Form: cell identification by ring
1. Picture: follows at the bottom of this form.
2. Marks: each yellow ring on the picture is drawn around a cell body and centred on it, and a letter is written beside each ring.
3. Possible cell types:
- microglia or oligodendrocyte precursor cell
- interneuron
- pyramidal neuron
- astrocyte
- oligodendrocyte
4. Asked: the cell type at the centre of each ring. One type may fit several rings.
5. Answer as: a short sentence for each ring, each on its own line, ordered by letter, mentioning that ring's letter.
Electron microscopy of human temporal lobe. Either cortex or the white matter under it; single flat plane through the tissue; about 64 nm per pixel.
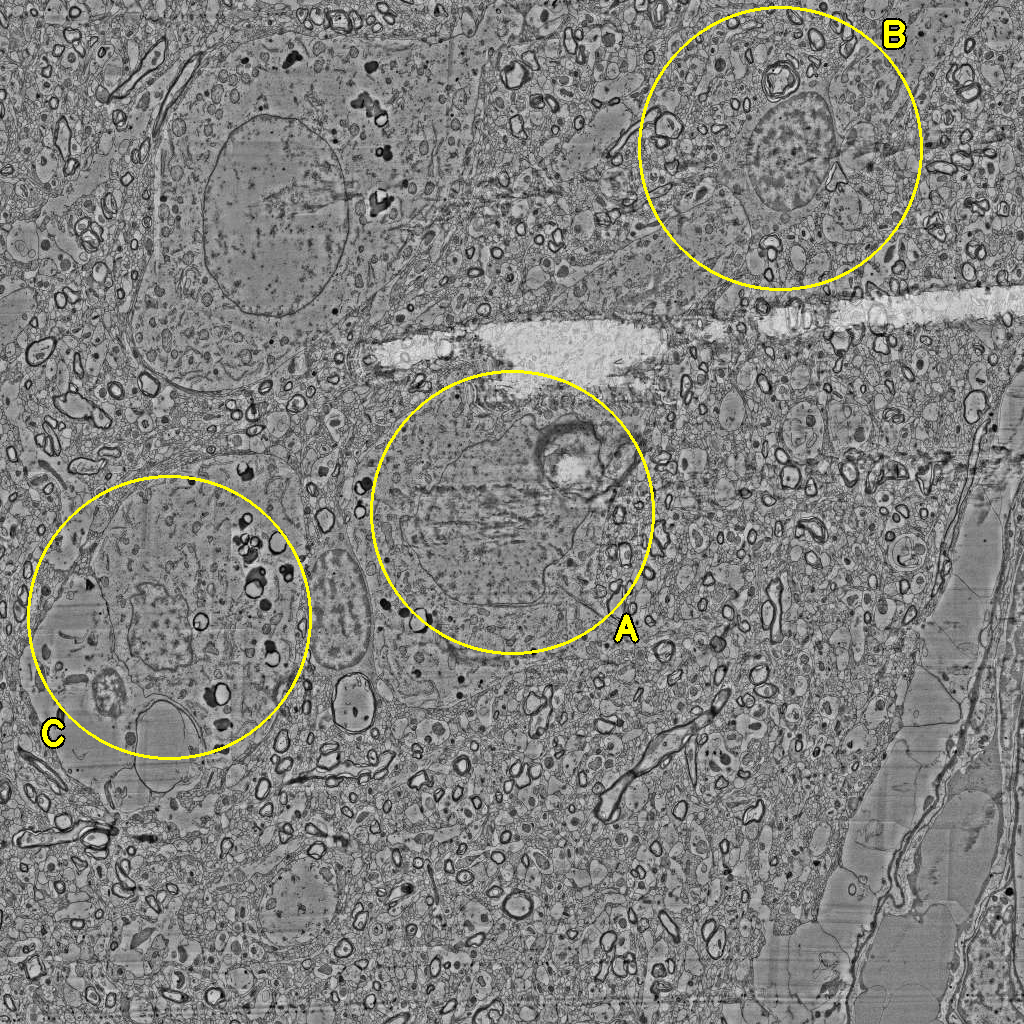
The cell at ring A's centre is a pyramidal neuron.
The cell at ring B's centre is an oligodendrocyte.
The cell at ring C's centre is a pyramidal neuron.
